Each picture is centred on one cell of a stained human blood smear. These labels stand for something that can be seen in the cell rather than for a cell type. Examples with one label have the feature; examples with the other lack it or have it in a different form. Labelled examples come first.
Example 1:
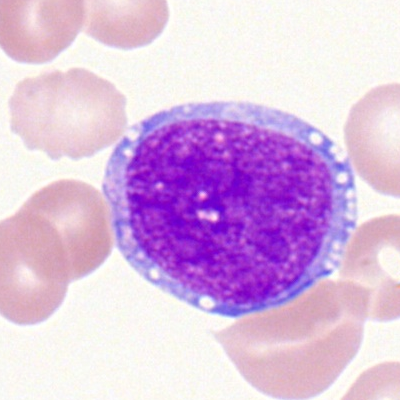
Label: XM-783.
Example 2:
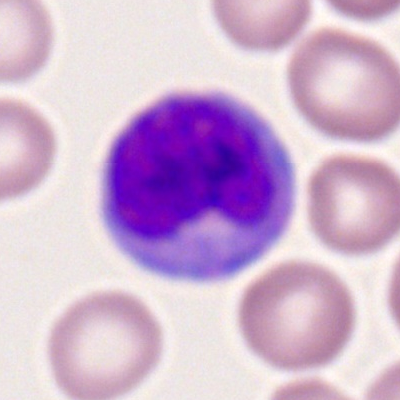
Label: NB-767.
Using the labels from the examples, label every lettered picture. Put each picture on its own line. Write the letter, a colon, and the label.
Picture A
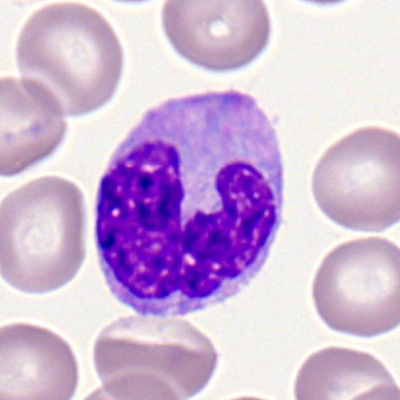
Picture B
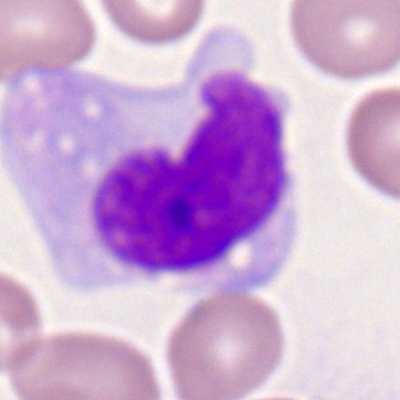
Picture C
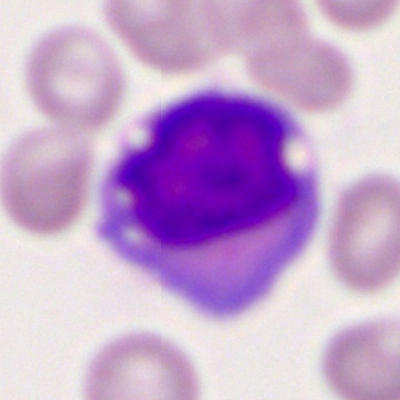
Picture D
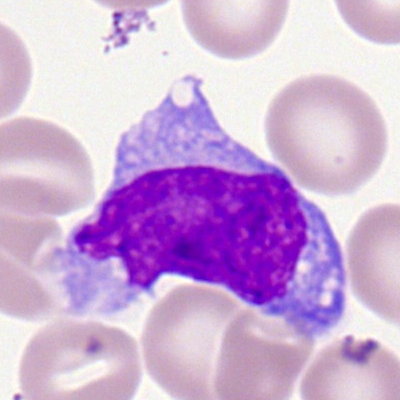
A: NB-767.
B: XM-783.
C: XM-783.
D: XM-783.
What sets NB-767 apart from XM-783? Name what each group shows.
In NB-767: no vacuoles. In XM-783: vacuoles present.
